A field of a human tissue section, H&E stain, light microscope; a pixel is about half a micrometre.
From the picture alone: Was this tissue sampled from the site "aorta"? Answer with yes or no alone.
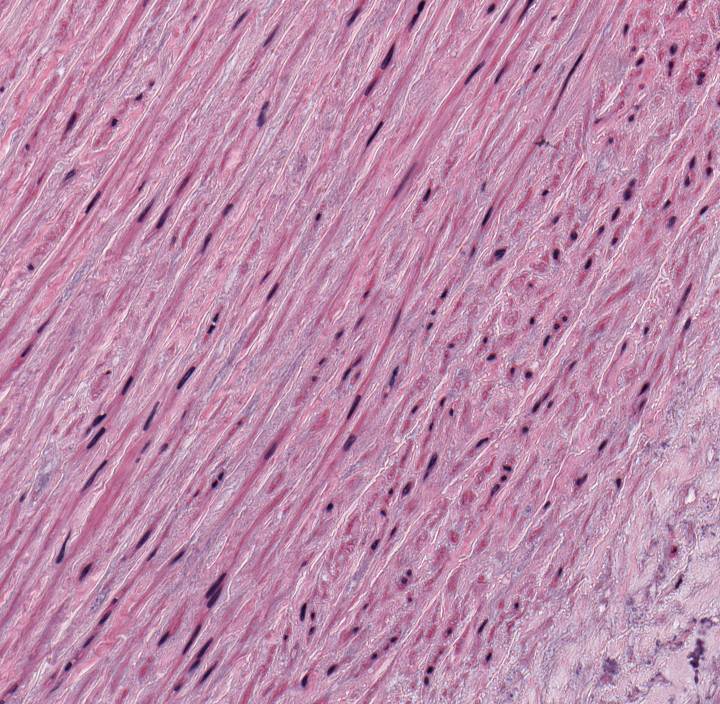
yes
